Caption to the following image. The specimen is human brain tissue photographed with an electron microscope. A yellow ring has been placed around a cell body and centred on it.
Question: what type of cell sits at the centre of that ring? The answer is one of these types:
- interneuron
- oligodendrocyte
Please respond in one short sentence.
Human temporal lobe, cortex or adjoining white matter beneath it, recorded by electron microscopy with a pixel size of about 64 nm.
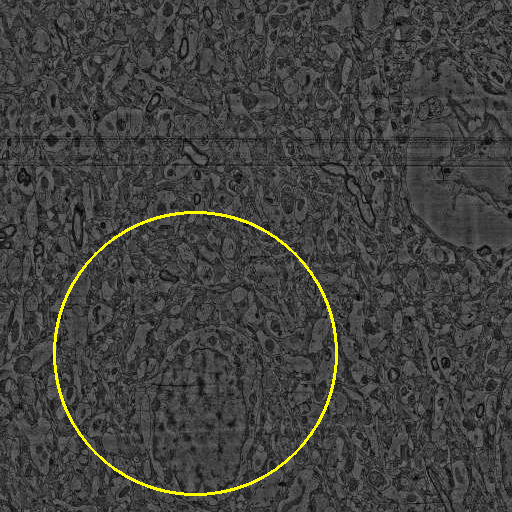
The ring surrounds the cell body of an interneuron.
